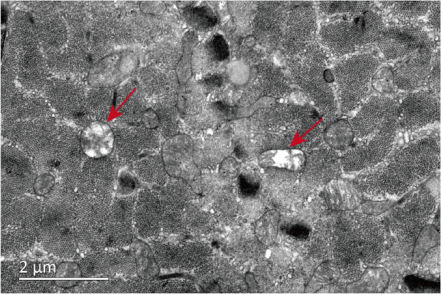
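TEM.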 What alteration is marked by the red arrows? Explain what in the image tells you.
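Swollen mitochondria. The two arrows point to pale, rounded organelles that are lighter than the surrounding mitochondria. These organelles hold only sparse, disrupted internal membranes.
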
